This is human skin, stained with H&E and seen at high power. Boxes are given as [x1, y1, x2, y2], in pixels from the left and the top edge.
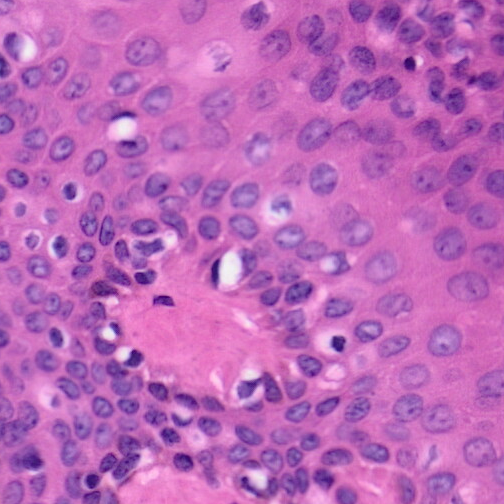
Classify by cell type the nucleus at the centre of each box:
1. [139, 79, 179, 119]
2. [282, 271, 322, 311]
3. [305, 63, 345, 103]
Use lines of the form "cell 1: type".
cell 1: suprabasal keratinocyte
cell 2: basal keratinocyte
cell 3: suprabasal keratinocyte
